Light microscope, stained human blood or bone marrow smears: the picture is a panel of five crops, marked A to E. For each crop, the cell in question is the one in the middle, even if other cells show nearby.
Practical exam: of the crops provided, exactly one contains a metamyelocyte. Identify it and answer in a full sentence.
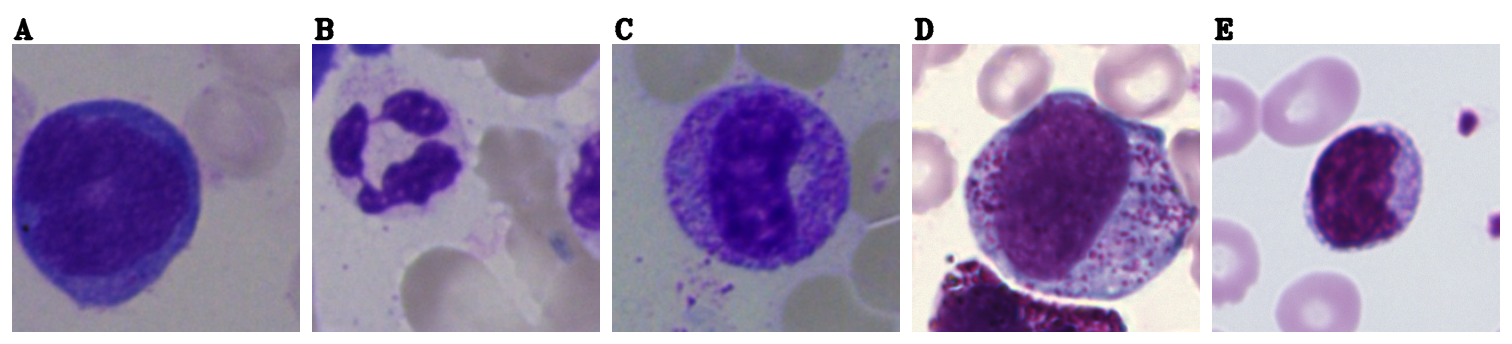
Crop C is the crop in which a metamyelocyte is shown.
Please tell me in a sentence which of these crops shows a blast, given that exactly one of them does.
It is in crop A, among all the crops, that a blast is present.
